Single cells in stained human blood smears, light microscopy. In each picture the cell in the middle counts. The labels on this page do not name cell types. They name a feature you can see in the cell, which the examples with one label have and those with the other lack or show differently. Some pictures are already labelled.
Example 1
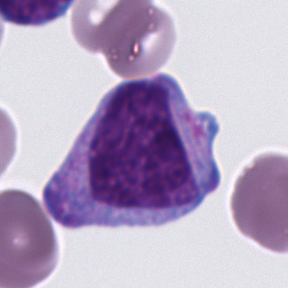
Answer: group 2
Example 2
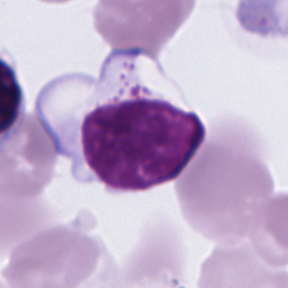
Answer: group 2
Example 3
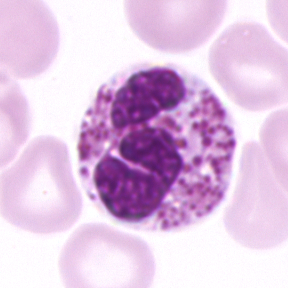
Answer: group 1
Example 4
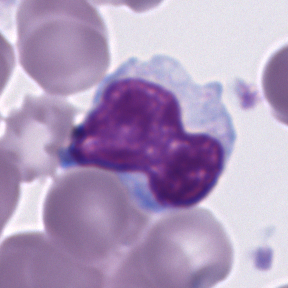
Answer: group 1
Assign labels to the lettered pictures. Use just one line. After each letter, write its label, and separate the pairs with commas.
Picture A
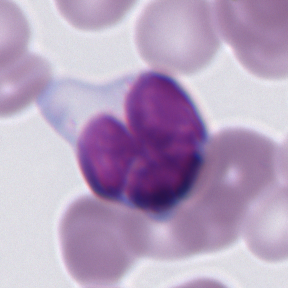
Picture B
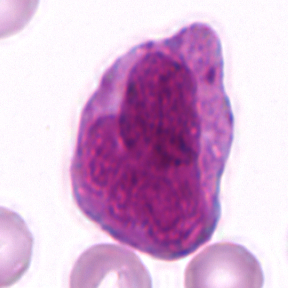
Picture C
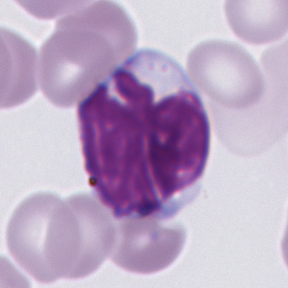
A group 1, B group 1, C group 1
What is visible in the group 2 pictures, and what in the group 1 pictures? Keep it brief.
Seen in group 2: single compact nucleus; seen in group 1: lobed nucleus.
